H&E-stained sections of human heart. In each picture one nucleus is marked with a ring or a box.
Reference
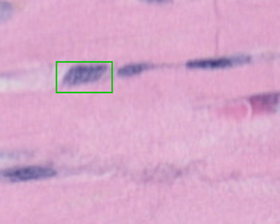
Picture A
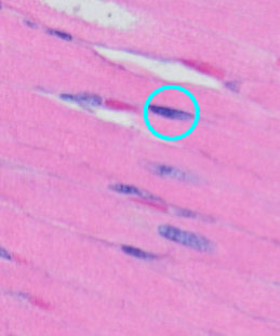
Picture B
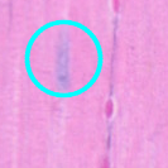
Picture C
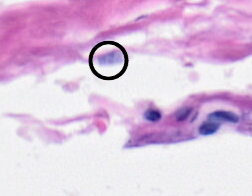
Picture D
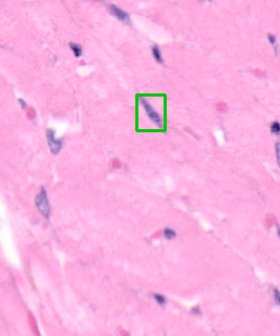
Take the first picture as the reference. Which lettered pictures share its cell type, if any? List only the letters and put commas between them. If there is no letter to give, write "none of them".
A, C, D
